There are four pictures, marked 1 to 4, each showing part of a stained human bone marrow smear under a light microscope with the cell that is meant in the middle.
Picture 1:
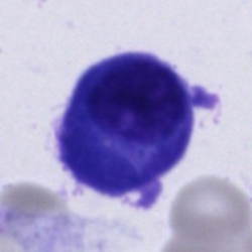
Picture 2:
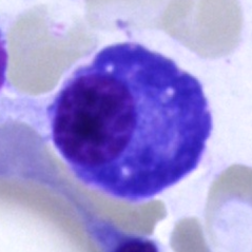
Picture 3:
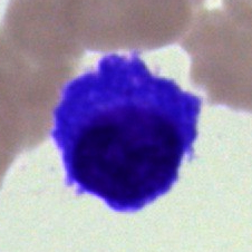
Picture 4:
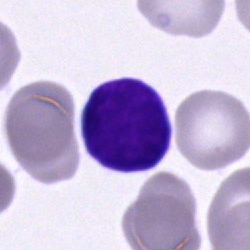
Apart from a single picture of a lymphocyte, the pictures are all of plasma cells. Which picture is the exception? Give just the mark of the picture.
4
